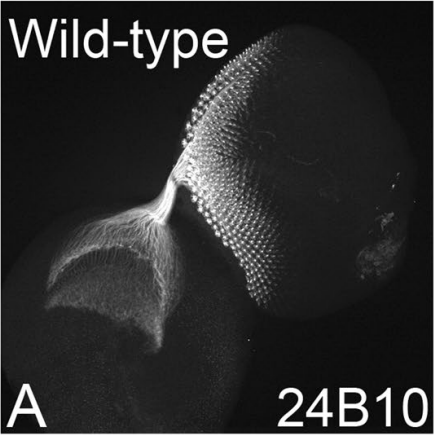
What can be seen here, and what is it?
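This is an eye imaginal disc still attached to the brain, with the photoreceptor clusters lit up as a regular lattice of bright dots across the disc. From these clusters a dense bundle of retinal axons runs through a narrow stalk into the adjacent optic lobe. There the axons fan out and end in curved, crescent-shaped layers that correspond to the lamina and medulla.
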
